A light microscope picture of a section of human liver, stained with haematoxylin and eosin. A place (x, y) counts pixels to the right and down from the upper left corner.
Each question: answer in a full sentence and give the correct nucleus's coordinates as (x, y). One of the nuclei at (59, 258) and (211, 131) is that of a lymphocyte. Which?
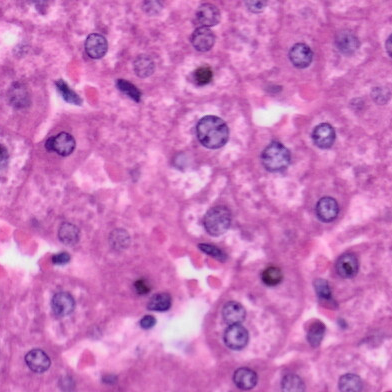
So, of the two, the nucleus at (59, 258) is the one belonging to a lymphocyte.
